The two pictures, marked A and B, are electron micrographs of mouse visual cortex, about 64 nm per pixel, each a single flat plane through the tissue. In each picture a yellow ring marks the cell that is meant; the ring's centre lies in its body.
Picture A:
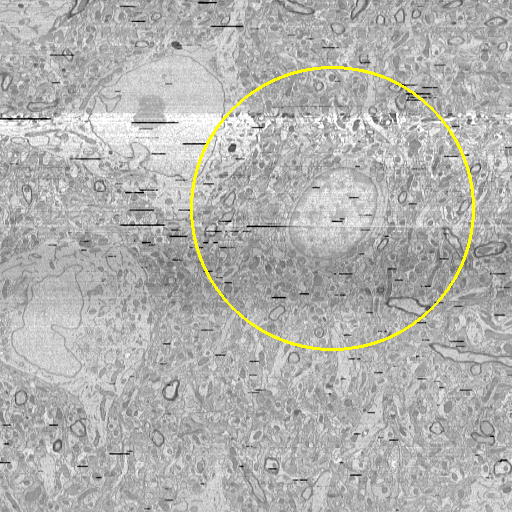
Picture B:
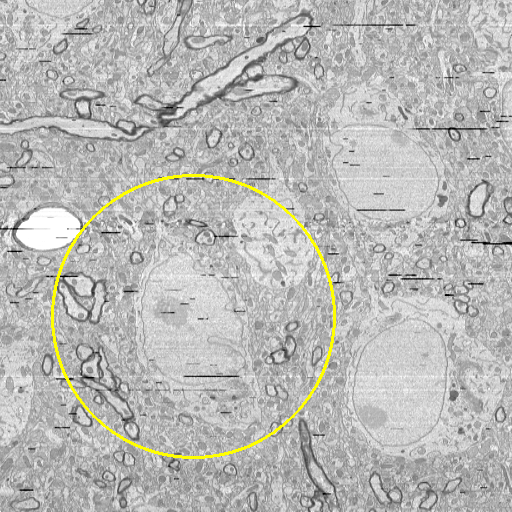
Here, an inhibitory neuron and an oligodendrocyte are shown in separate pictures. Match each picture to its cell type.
In picture A the cell is an oligodendrocyte; in picture B, an inhibitory neuron.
